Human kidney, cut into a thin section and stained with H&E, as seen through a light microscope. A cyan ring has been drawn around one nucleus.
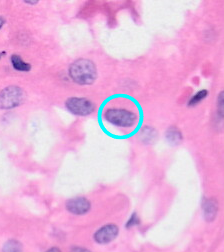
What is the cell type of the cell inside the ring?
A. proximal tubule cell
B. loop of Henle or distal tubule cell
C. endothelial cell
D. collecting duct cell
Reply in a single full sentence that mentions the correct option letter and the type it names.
Option B correctly identifies the cell inside the ring as a loop of Henle or distal tubule cell.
